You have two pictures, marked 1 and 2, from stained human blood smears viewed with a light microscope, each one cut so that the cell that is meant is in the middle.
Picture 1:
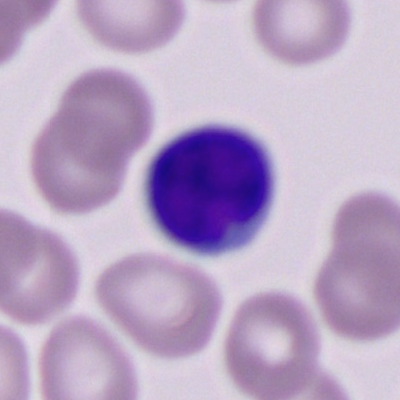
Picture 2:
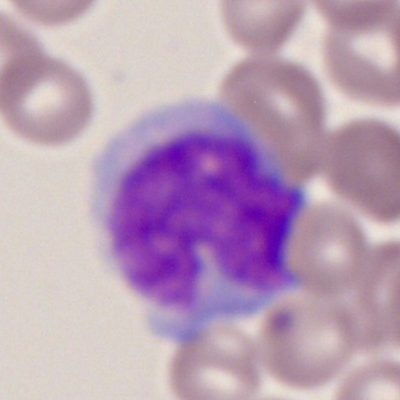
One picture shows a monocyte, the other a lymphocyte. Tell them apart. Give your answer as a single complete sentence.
It is picture 1 that shows a lymphocyte, and picture 2 that shows a monocyte.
